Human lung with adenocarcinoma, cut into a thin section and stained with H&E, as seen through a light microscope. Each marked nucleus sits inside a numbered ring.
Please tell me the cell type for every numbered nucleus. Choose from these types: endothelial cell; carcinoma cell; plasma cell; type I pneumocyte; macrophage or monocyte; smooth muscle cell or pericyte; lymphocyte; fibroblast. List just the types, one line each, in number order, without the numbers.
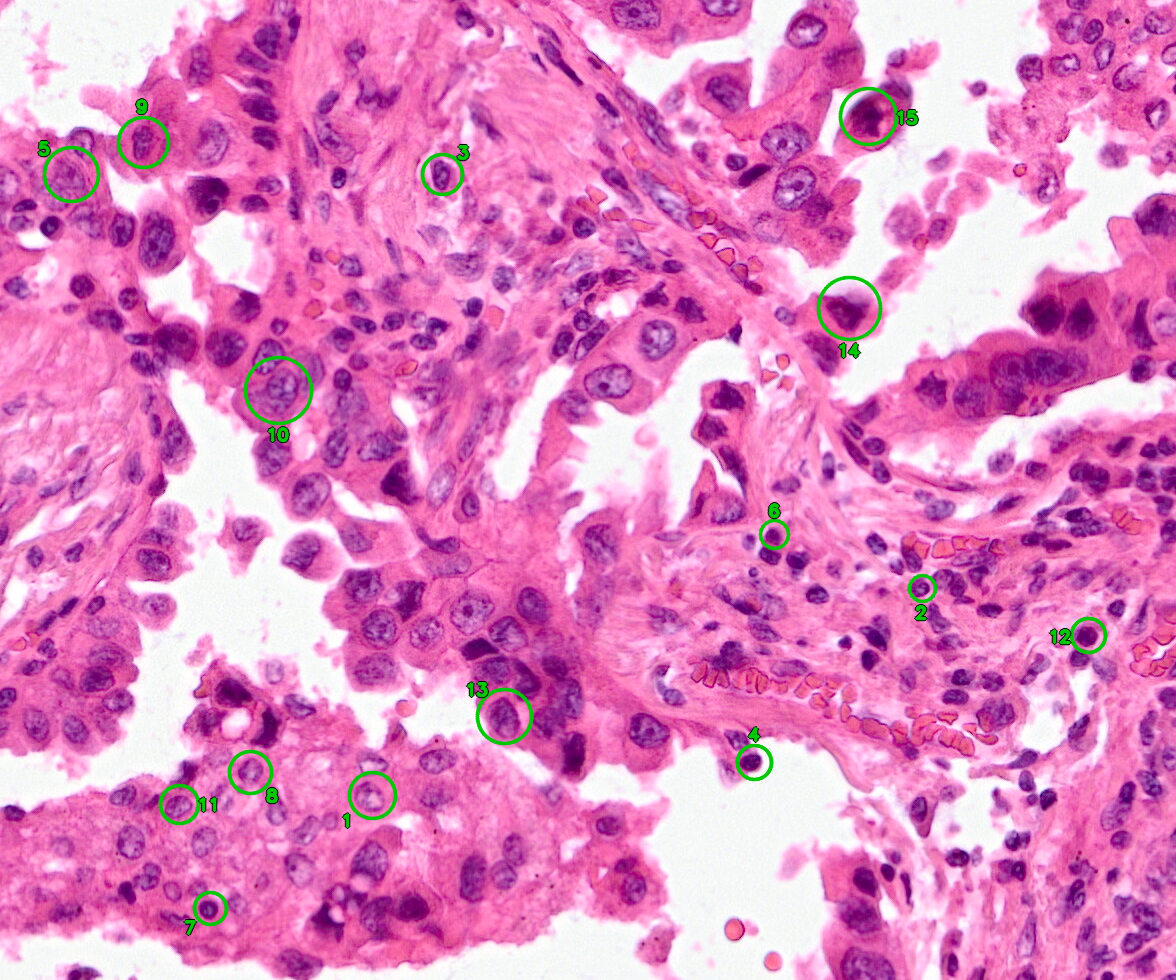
macrophage or monocyte
lymphocyte
plasma cell
lymphocyte
carcinoma cell
plasma cell
lymphocyte
macrophage or monocyte
carcinoma cell
carcinoma cell
macrophage or monocyte
plasma cell
carcinoma cell
carcinoma cell
carcinoma cell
